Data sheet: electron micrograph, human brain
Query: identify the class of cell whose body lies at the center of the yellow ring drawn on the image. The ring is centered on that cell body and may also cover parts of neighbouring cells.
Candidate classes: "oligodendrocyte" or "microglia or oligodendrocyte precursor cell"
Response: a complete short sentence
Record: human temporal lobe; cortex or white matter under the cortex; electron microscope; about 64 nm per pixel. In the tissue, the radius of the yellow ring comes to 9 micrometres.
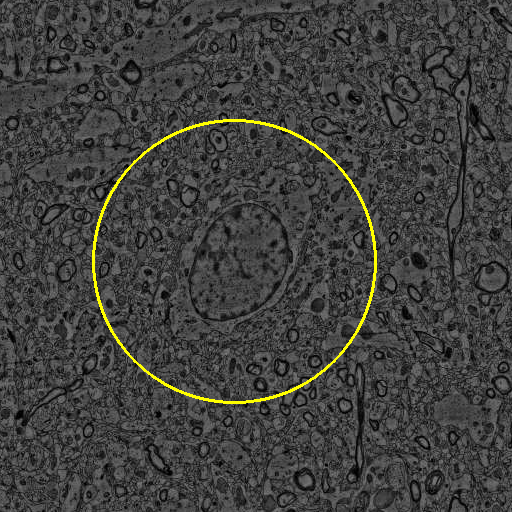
At the center of the ring lies a microglial cell or oligodendrocyte precursor cell.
